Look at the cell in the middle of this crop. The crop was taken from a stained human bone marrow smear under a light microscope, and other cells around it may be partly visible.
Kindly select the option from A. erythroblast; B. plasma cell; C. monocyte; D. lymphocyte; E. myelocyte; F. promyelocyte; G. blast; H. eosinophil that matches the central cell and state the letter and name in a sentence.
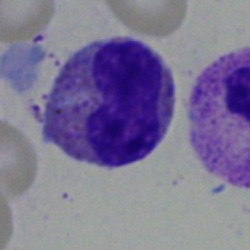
Option H correctly names the cell in the middle as an eosinophil.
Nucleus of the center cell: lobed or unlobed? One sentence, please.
Between us, the nucleus here is just one compact mass, round, oval or kidney-shaped.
